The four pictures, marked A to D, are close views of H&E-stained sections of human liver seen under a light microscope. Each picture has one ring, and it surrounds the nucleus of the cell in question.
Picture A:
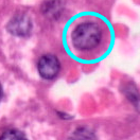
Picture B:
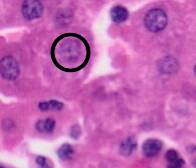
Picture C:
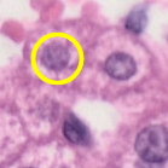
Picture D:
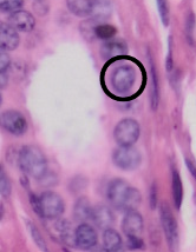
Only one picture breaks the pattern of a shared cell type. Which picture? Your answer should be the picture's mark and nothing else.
D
